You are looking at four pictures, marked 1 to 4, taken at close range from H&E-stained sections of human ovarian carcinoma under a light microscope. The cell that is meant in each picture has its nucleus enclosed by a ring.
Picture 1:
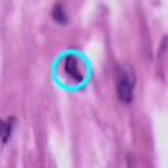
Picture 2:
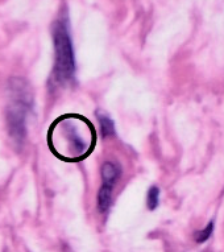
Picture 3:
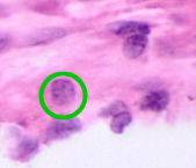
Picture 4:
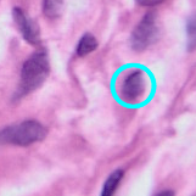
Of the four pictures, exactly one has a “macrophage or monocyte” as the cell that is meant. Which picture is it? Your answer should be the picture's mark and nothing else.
3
